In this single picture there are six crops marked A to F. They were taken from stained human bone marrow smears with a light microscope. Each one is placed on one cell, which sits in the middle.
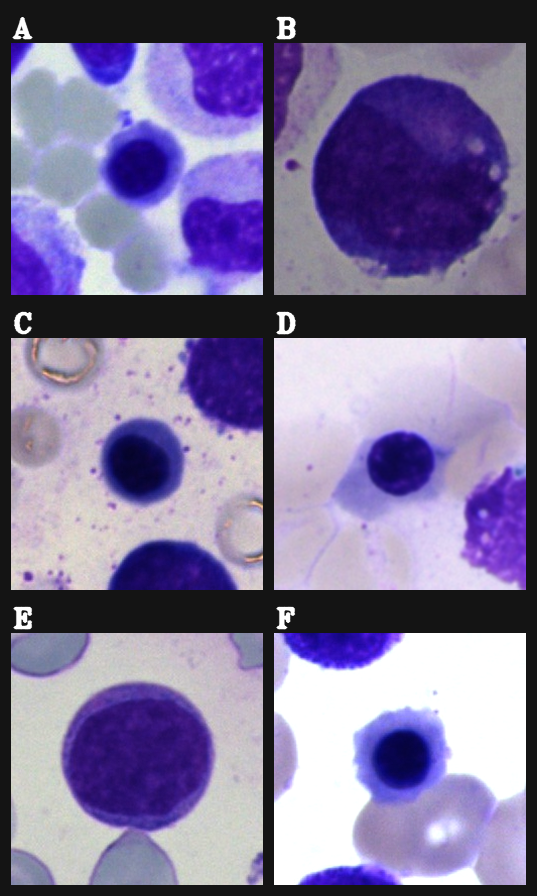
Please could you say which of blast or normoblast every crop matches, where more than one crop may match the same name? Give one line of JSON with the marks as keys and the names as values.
{"A": "normoblast", "B": "blast", "C": "normoblast", "D": "normoblast", "E": "blast", "F": "normoblast"}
